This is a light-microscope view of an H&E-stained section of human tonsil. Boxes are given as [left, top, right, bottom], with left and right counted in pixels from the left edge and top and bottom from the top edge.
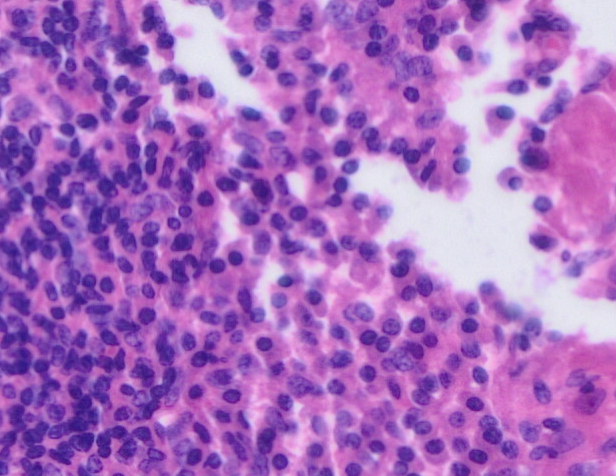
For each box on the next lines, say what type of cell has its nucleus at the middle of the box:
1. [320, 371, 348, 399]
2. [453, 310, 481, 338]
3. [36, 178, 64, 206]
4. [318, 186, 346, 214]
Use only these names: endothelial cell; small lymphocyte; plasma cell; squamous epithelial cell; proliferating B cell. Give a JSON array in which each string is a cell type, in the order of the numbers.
["plasma cell", "plasma cell", "small lymphocyte", "plasma cell"]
